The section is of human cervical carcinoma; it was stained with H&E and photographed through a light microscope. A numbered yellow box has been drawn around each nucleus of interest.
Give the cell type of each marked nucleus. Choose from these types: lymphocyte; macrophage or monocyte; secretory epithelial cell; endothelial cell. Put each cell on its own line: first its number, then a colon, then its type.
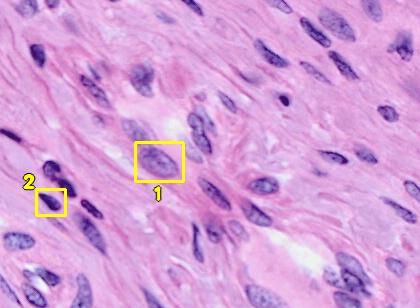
1: endothelial cell
2: lymphocyte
